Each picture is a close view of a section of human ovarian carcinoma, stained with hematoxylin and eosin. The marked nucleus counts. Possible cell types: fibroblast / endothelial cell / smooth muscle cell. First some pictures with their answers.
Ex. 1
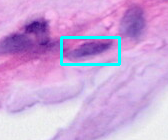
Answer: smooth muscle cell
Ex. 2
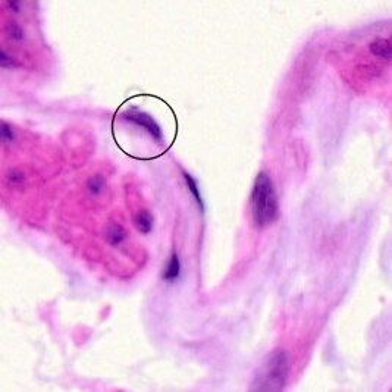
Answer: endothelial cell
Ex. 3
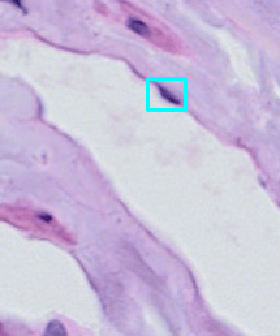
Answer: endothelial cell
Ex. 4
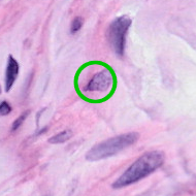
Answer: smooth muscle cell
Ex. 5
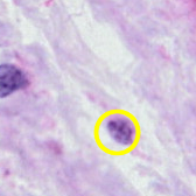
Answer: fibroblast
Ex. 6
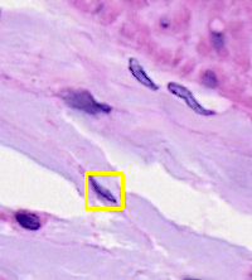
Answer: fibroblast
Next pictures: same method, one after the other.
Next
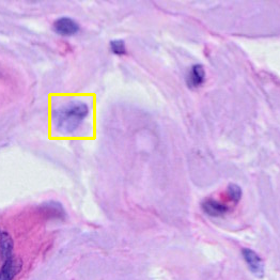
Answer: fibroblast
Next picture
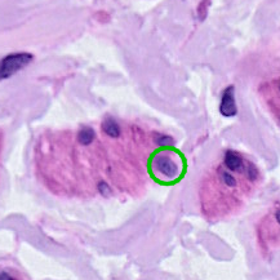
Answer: smooth muscle cell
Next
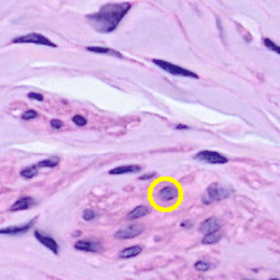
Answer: smooth muscle cell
